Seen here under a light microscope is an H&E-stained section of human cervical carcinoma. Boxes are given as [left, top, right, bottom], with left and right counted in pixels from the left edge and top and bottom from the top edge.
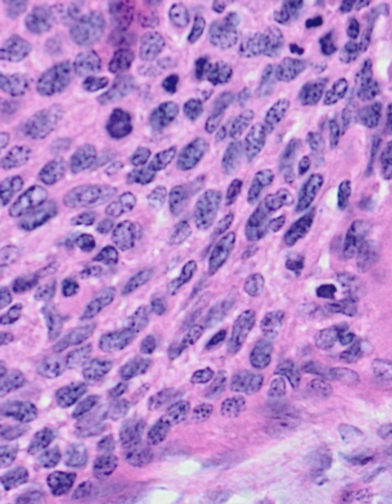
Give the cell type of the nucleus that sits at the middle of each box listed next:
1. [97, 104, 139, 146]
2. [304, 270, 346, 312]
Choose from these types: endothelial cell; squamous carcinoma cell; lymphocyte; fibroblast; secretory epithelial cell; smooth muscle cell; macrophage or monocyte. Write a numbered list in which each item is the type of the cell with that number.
1. squamous carcinoma cell
2. lymphocyte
